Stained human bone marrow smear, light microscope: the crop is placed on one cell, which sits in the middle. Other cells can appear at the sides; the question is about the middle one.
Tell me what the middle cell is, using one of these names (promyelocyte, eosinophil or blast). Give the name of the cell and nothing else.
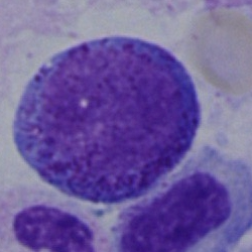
promyelocyte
